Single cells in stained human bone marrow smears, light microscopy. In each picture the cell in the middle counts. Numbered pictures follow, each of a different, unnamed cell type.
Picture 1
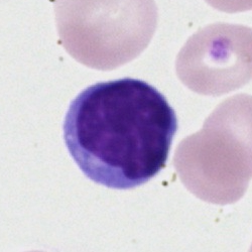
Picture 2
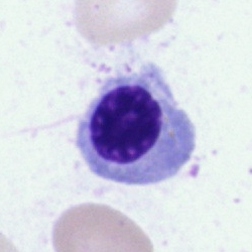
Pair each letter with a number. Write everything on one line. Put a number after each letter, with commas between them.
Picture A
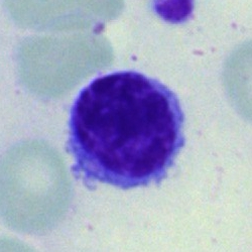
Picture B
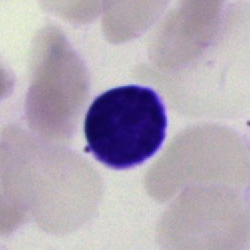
A 1, B 1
